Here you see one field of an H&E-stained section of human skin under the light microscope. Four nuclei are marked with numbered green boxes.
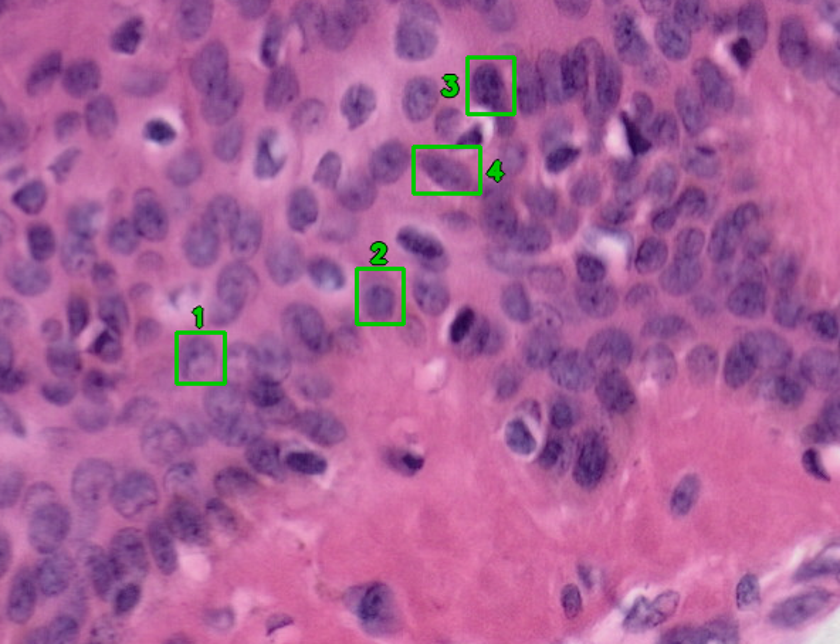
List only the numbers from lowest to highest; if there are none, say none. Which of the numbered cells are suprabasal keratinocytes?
1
